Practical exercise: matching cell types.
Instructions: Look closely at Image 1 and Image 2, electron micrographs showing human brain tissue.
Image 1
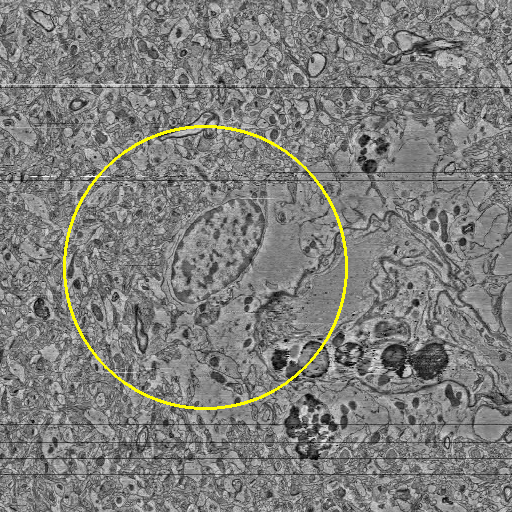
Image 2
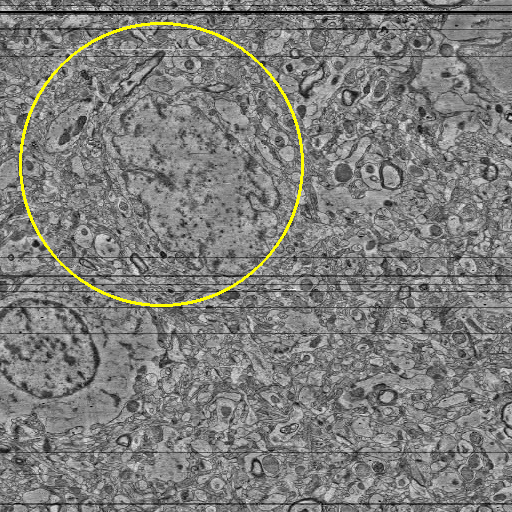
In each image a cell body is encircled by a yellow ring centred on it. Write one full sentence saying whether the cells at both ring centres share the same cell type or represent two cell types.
Across Image 1 and Image 2, the cells at the ring centres represent two cell types.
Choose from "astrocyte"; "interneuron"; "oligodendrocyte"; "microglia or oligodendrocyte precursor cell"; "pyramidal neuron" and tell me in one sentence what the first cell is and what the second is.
What the first ring is centred on is a microglial cell or oligodendrocyte precursor cell; what the second ring is centred on is an interneuron.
